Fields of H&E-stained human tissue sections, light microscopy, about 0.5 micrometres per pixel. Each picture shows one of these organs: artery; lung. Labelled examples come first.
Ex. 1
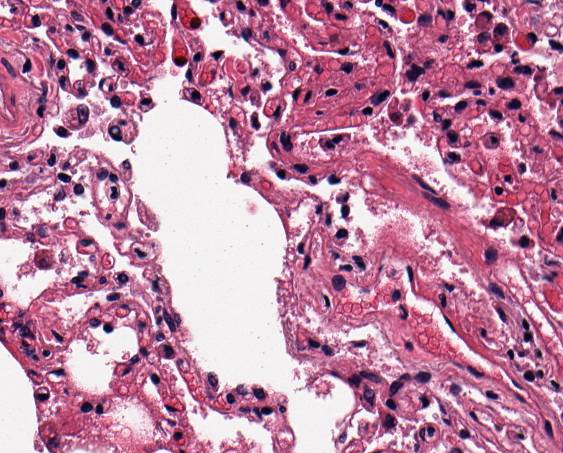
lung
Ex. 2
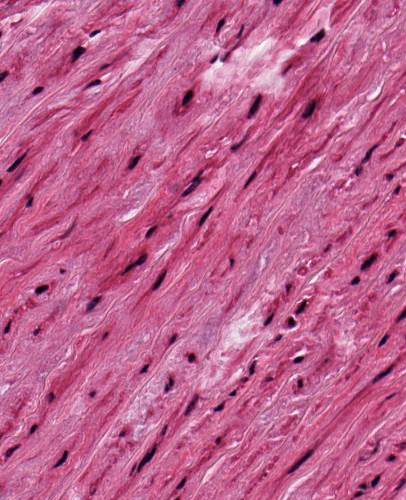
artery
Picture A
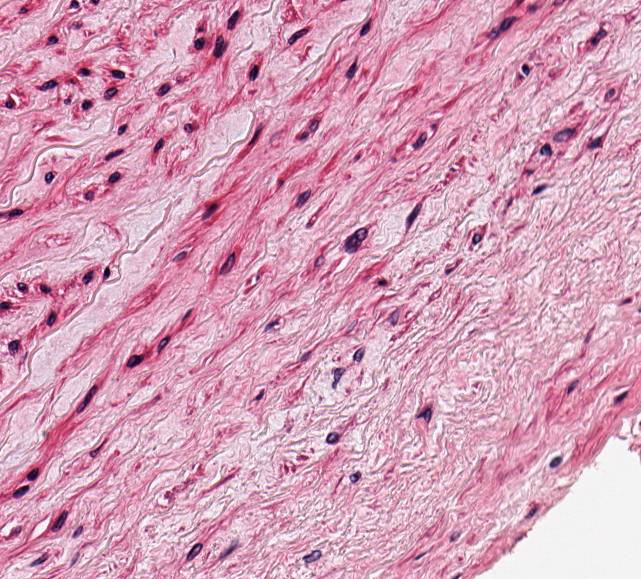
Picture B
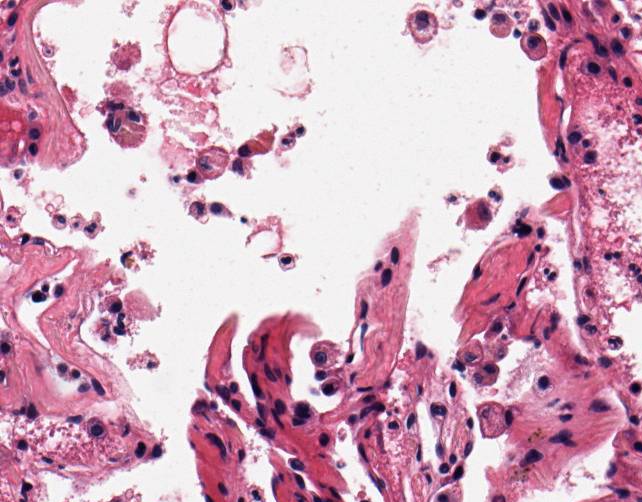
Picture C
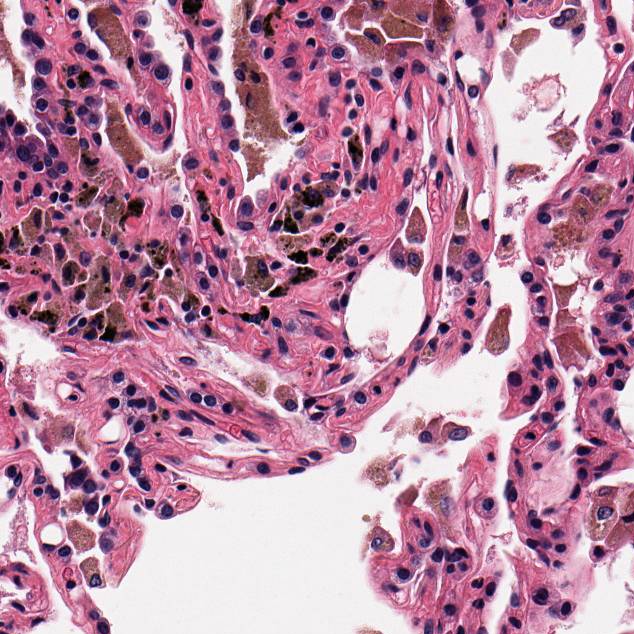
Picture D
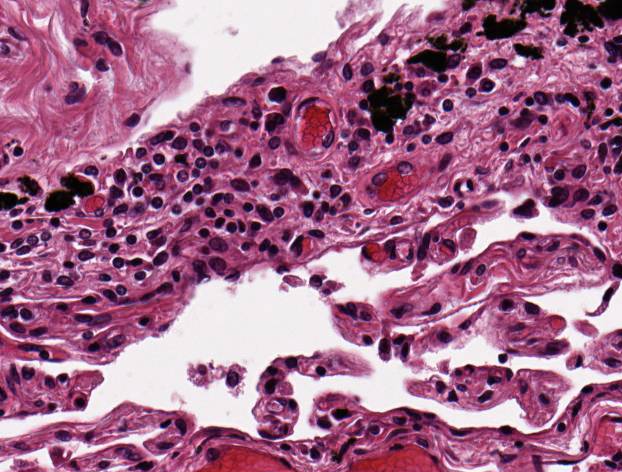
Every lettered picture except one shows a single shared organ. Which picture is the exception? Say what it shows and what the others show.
A (artery) is the exception; every other picture is lung.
